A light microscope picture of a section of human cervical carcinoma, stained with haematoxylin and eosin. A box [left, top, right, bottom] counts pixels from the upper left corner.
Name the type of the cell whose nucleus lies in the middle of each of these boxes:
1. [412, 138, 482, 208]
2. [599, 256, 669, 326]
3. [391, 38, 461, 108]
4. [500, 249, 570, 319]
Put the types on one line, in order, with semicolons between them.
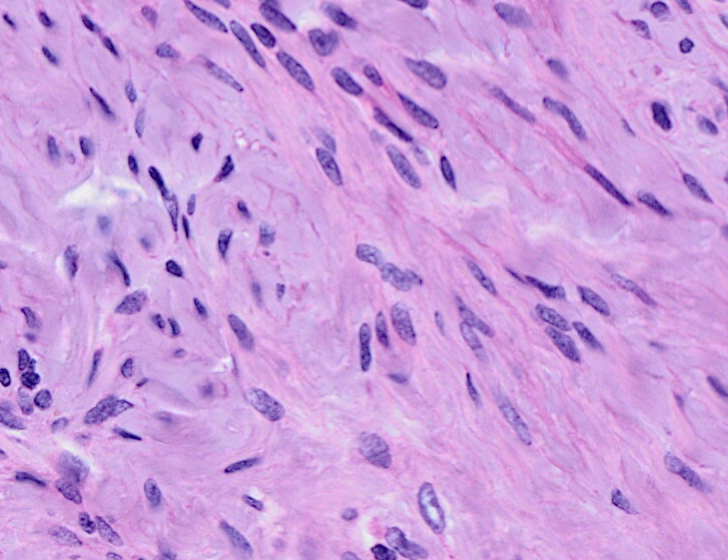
fibroblast; smooth muscle cell; fibroblast; fibroblast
